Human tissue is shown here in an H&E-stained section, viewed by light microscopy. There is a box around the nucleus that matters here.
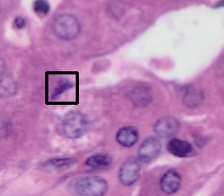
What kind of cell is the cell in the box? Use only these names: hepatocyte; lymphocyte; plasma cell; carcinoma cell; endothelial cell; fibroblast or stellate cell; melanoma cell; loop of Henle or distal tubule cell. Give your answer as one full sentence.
It is as a fibroblast or stellate cell that the cell in the box is recorded.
